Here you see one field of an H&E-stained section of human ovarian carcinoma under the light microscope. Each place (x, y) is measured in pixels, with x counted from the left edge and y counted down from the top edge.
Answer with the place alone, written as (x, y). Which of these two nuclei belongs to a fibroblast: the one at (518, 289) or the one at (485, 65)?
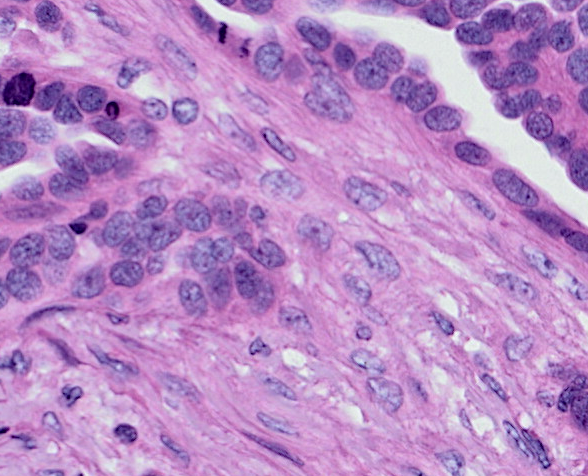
(518, 289)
